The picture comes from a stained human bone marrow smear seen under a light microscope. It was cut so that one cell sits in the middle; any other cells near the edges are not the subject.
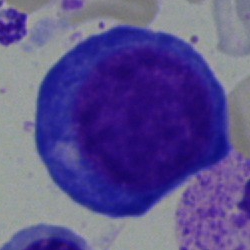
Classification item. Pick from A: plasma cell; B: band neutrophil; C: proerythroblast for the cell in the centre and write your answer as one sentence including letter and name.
Option C is correct in naming the middle cell a proerythroblast.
